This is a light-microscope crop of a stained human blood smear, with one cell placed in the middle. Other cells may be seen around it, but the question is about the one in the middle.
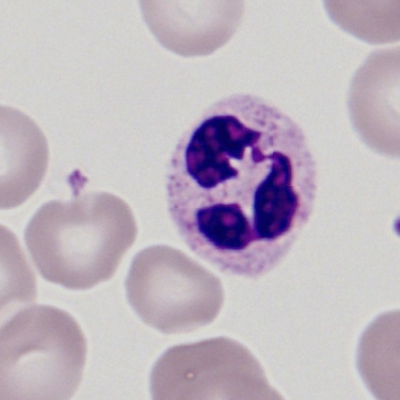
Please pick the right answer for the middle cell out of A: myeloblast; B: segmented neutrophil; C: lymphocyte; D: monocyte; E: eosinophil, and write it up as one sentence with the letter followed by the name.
Option B is correct in that the central cell is a segmented neutrophil.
